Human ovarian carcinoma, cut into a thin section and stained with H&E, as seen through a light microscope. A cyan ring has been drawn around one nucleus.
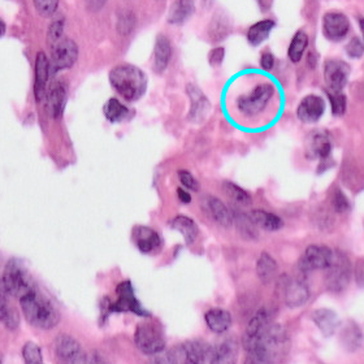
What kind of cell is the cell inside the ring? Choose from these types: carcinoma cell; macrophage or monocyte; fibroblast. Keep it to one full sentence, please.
In the stained section, the cell inside the ring is a macrophage or monocyte.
